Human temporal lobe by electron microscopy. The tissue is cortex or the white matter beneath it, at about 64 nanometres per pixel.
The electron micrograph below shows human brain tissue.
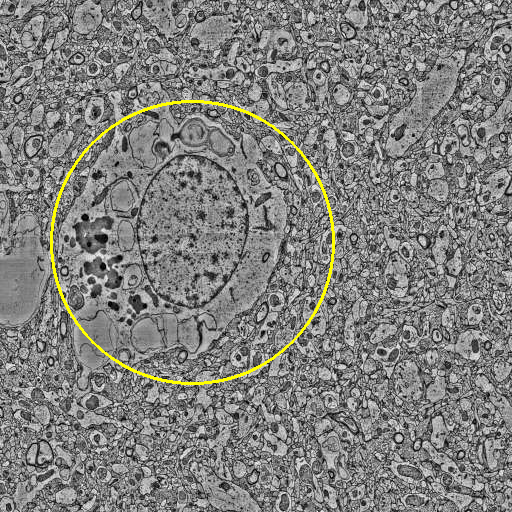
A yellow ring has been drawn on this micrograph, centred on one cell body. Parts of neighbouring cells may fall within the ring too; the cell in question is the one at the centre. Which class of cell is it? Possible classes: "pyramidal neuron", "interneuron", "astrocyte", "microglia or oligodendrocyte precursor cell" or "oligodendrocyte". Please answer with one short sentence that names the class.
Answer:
In the centre of the ring sits an astrocyte.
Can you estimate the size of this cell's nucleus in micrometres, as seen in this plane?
The ringed cell's nucleus is about 10 micrometres long and 7 micrometres wide in this plane.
